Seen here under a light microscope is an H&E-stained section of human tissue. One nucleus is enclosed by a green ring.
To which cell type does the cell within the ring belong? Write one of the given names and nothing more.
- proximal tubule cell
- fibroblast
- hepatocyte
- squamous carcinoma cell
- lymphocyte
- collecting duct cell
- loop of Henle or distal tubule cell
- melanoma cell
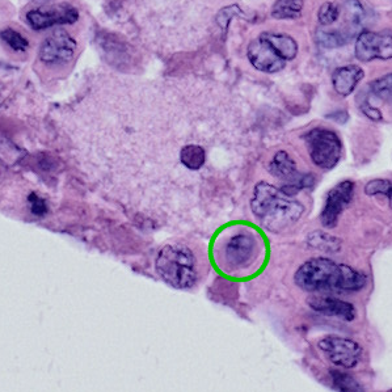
squamous carcinoma cell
